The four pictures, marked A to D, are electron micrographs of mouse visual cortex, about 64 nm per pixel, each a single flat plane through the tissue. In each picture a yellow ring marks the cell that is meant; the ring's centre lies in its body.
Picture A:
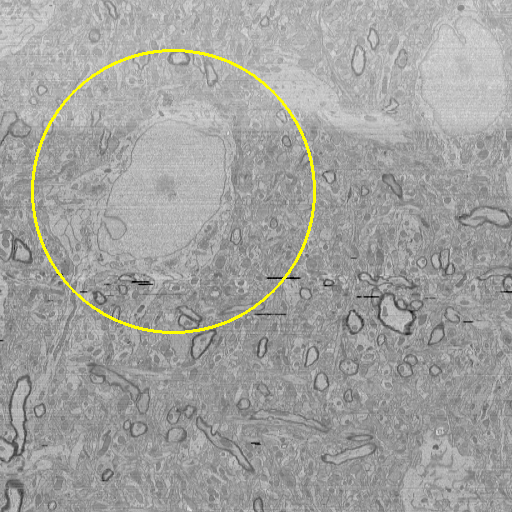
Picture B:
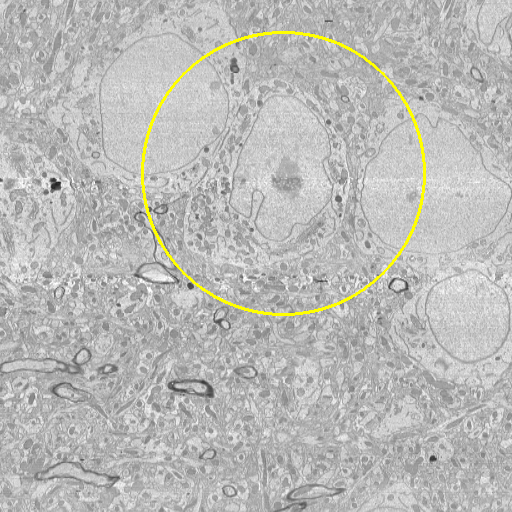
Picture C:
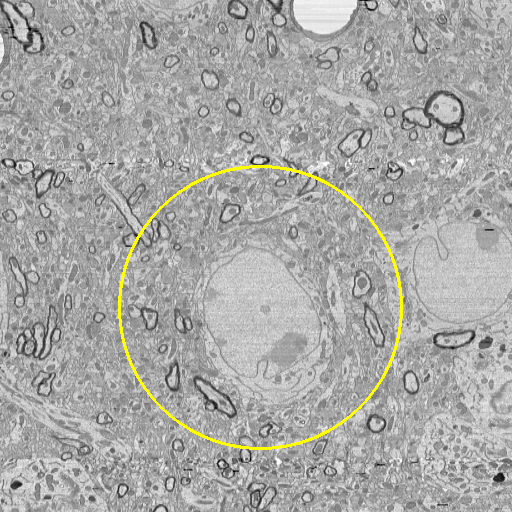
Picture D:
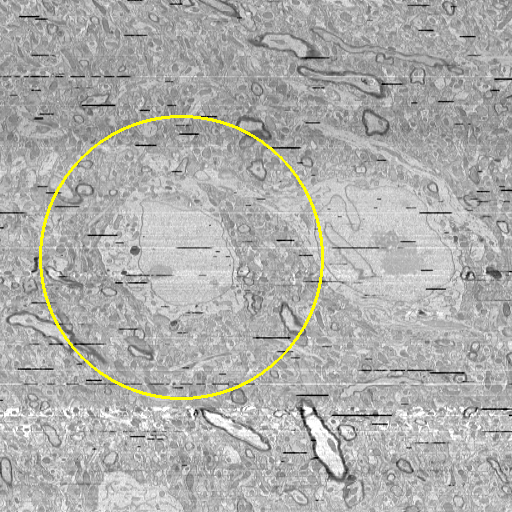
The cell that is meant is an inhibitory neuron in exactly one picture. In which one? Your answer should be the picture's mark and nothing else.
B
